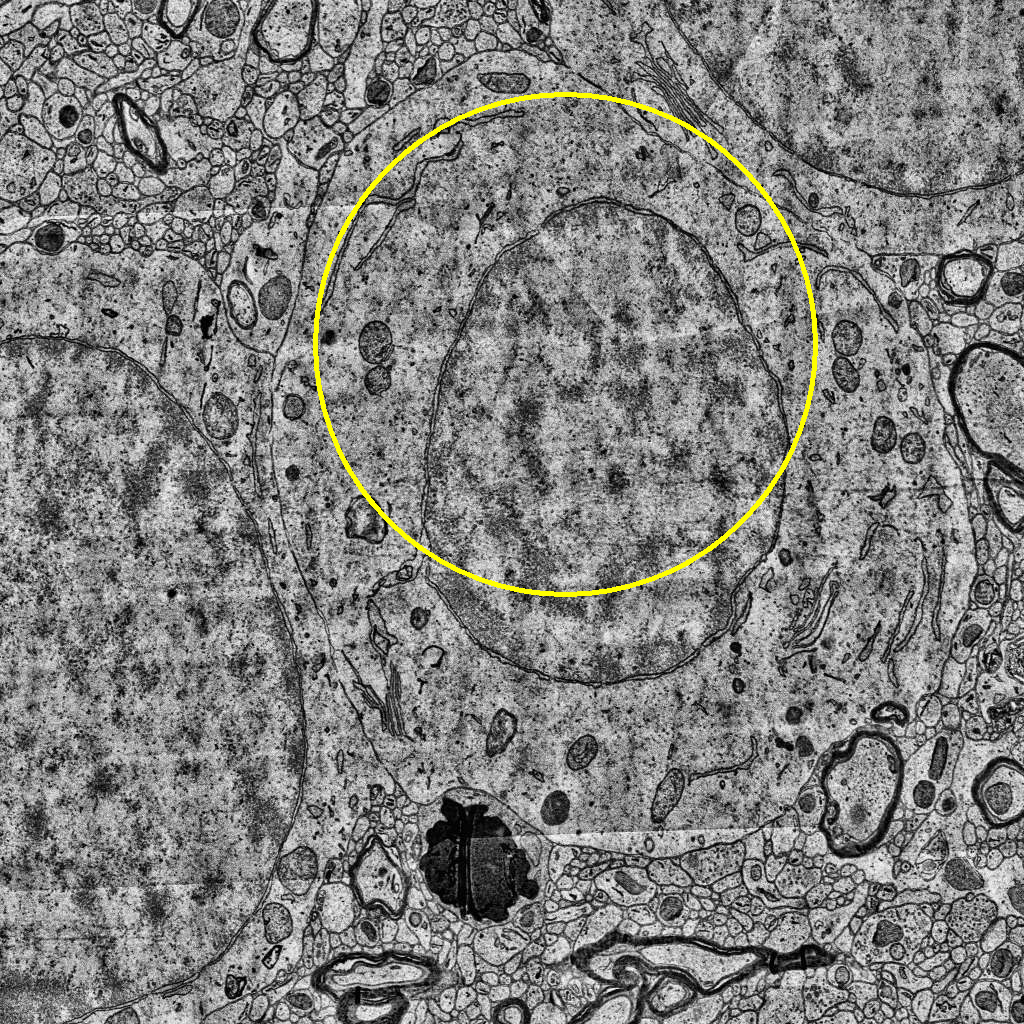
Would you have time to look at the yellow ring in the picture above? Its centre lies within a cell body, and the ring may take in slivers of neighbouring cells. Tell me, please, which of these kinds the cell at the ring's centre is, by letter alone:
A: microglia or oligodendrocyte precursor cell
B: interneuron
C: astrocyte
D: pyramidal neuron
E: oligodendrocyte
D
